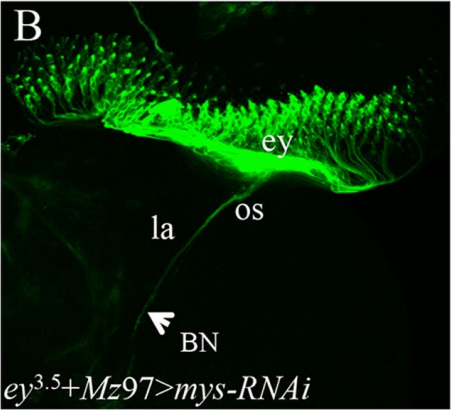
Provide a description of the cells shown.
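A larval eye disc and neighbouring brain lobe, with the photoreceptor cells in green forming clusters arranged in rows across the disc. Their axons gather into a dense bundle along the back of the disc but stay within it. No bundle of axons runs into the brain, and no band of axon endings appears in the lamina or medulla. Only a single thin nerve fibre runs from the stalk region down into the brain lobe.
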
